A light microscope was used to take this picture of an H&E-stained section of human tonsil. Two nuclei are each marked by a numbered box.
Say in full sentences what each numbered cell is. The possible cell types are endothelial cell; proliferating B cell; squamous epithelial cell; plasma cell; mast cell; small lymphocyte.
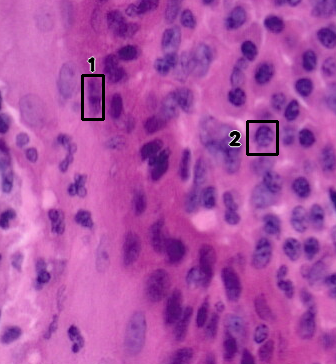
Cell 1 is a squamous epithelial cell. Cell 2 is a plasma cell.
